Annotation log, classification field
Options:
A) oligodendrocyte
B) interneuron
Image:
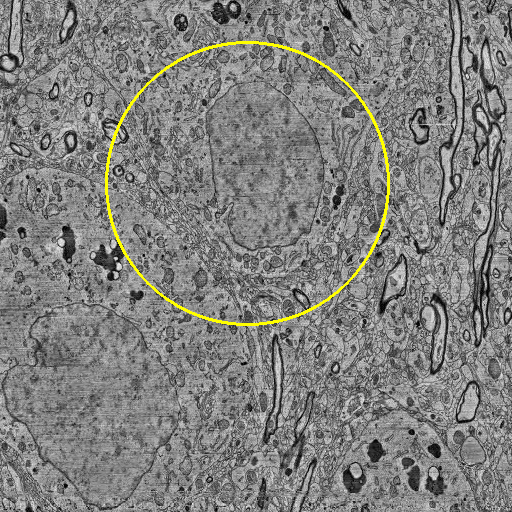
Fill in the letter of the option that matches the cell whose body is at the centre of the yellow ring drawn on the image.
B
